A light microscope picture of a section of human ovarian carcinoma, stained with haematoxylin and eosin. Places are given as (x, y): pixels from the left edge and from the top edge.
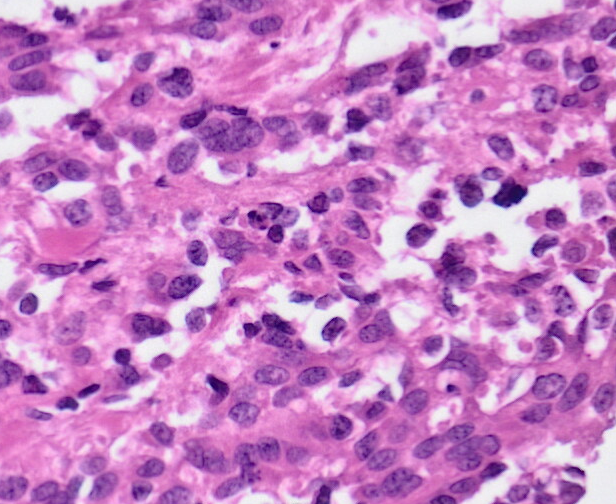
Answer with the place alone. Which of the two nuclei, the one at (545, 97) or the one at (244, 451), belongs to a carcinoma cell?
(244, 451)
